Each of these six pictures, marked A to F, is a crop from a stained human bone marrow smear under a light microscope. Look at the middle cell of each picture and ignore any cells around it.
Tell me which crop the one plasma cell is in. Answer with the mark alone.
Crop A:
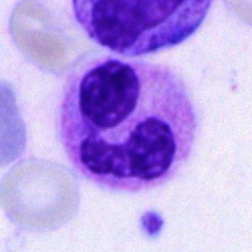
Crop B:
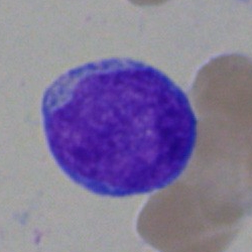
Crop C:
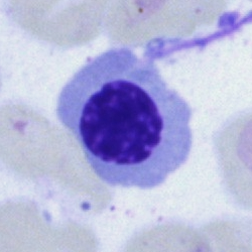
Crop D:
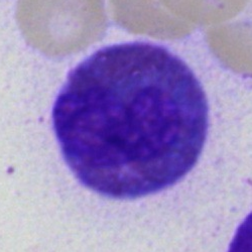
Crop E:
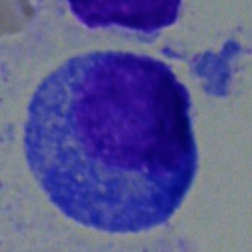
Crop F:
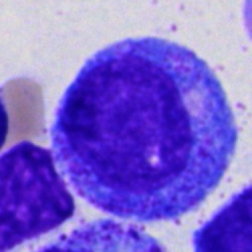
E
